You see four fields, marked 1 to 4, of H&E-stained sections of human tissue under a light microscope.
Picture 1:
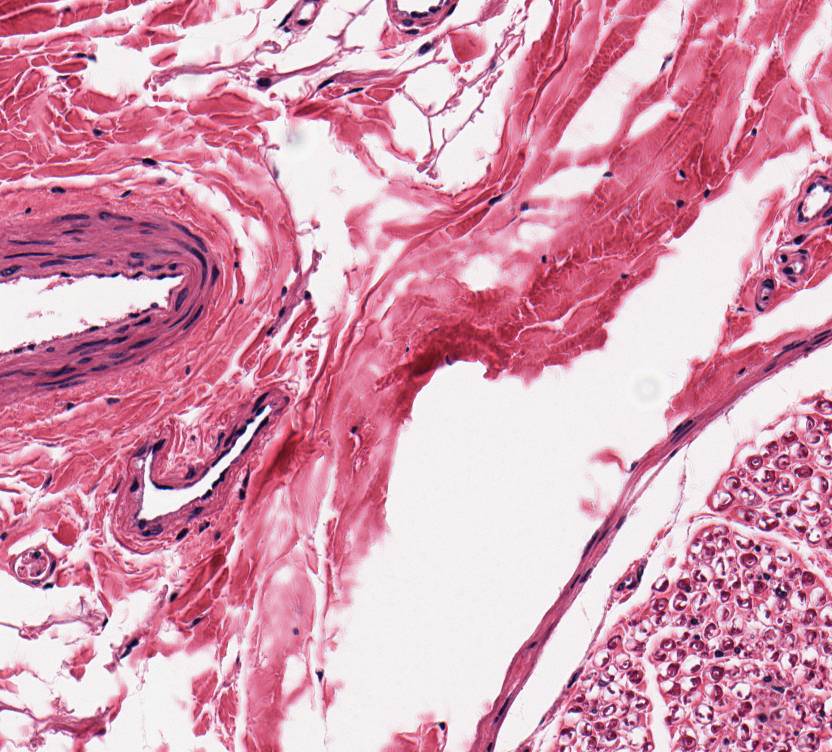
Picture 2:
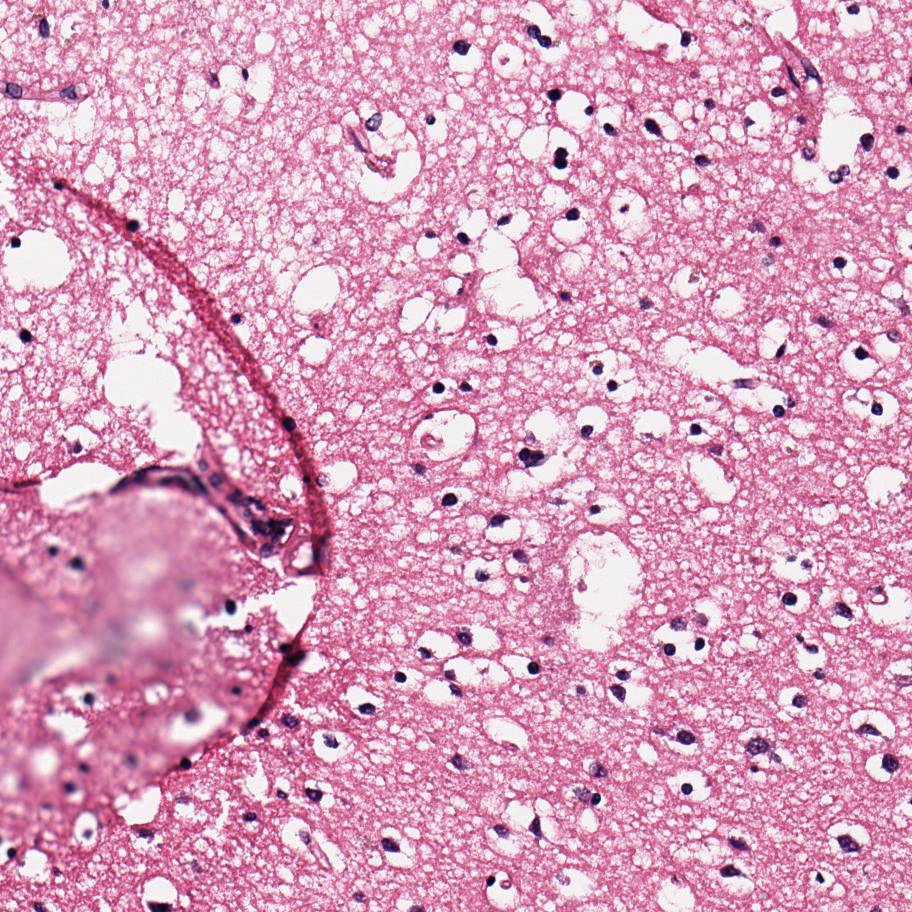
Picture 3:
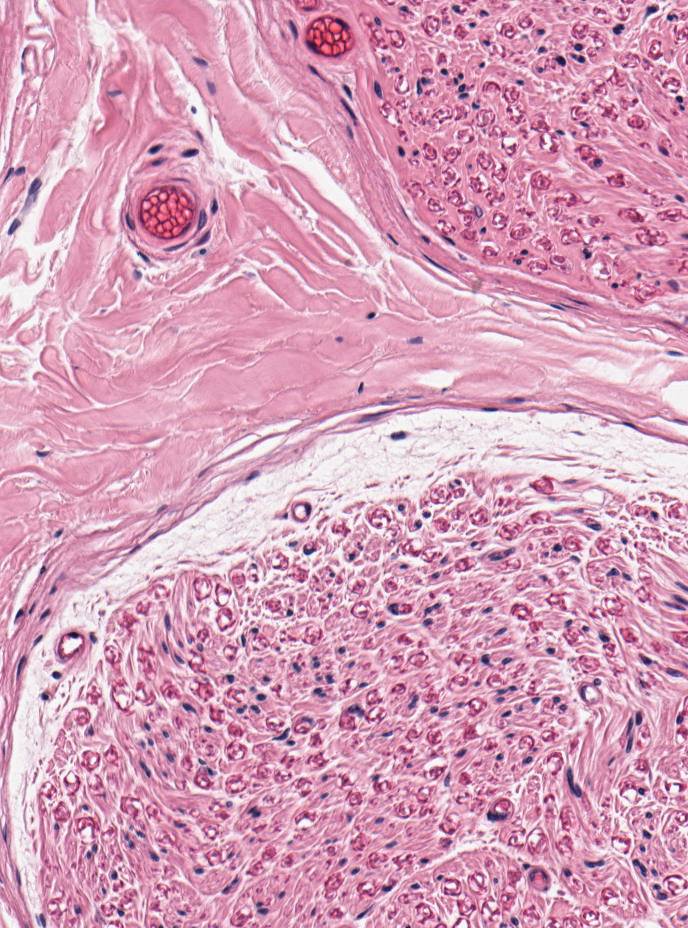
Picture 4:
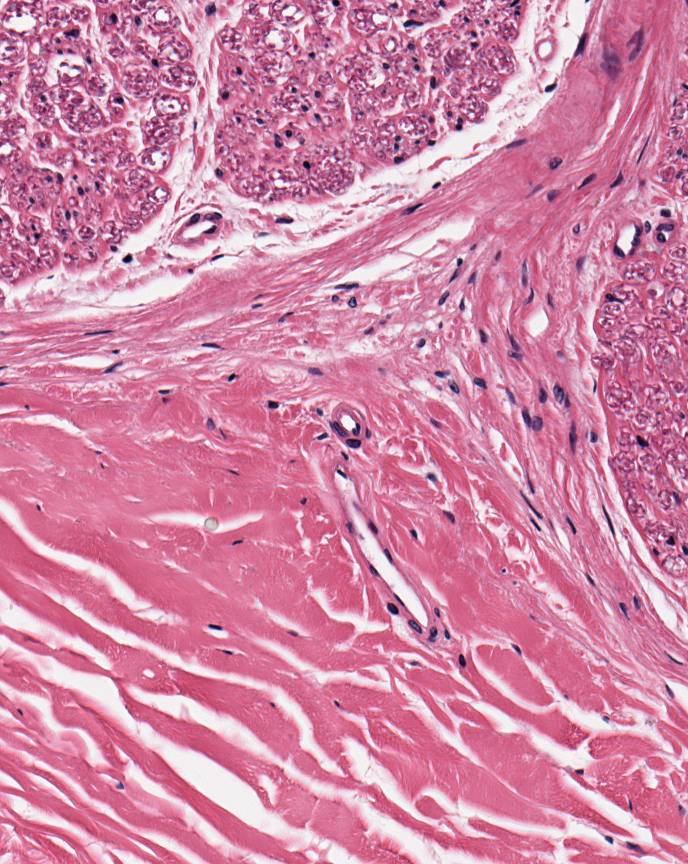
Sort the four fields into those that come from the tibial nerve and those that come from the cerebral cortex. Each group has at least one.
1: tibial nerve
2: cerebral cortex
3: tibial nerve
4: tibial nerve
